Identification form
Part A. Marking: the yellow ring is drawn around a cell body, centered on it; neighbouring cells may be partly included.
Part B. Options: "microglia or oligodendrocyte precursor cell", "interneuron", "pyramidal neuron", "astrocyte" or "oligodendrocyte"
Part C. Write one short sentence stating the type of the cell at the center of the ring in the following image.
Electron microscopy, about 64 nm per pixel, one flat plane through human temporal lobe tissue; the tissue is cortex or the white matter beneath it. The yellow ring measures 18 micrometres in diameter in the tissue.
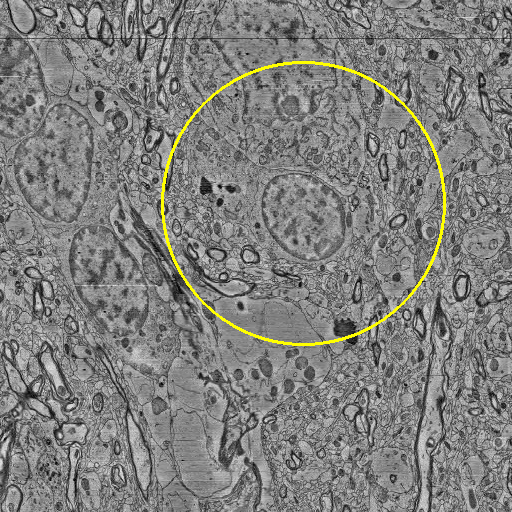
The center of the ring holds an oligodendrocyte.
